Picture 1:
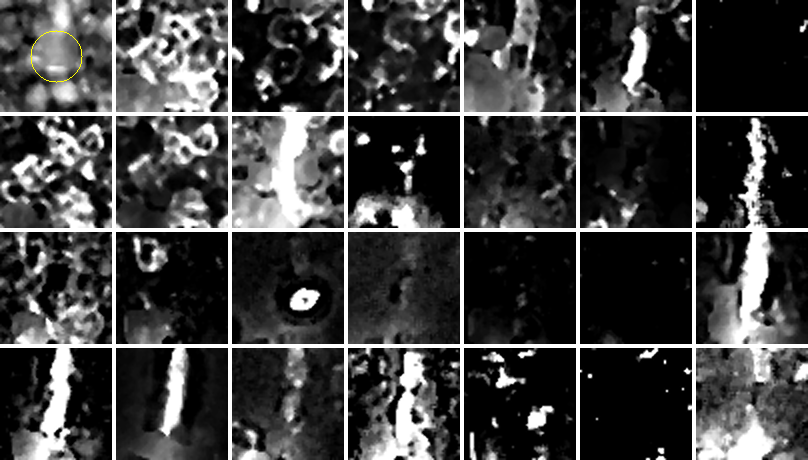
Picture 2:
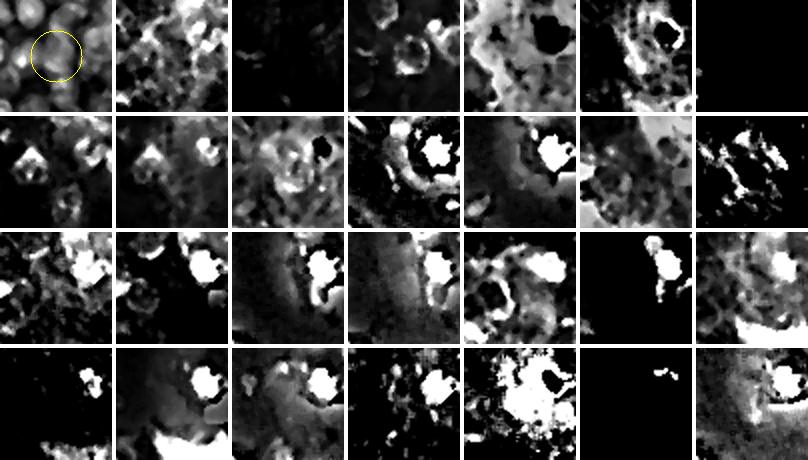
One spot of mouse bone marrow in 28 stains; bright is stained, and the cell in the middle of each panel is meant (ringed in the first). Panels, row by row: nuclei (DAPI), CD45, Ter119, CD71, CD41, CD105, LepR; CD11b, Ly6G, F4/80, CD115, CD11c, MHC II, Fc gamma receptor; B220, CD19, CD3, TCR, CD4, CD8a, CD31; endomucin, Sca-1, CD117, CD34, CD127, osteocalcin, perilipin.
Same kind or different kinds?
Same: megakaryocyte progenitors.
